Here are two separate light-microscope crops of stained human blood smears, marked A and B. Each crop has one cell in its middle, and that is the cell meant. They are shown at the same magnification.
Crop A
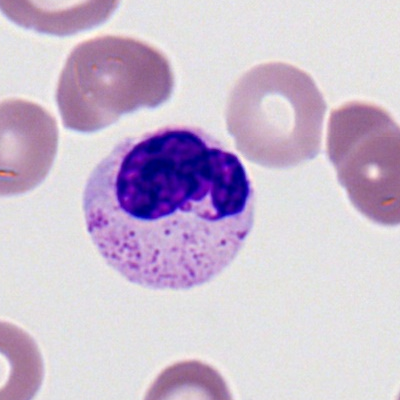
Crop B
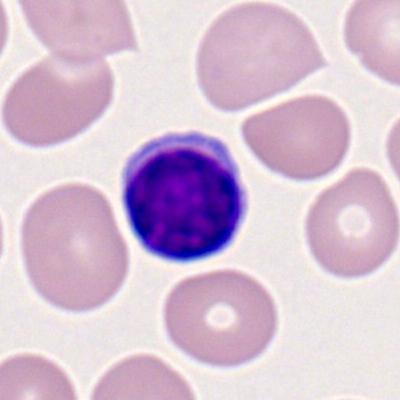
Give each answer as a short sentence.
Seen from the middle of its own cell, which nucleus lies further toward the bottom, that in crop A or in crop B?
Seen within its cell, the nucleus in crop B lies further toward the bottom.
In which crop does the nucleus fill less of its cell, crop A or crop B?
The nucleus fills less of the cell in crop A than in crop B.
